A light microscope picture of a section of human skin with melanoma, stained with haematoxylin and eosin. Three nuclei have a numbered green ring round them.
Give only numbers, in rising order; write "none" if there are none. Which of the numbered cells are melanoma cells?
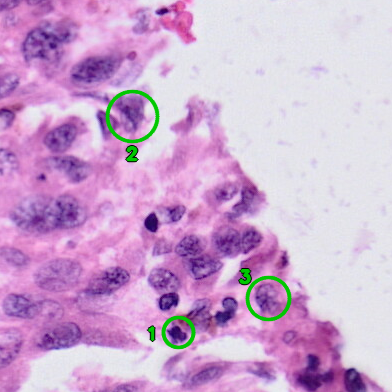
2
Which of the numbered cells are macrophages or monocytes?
3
